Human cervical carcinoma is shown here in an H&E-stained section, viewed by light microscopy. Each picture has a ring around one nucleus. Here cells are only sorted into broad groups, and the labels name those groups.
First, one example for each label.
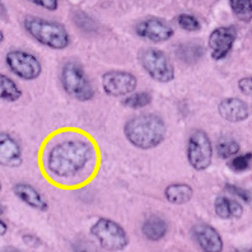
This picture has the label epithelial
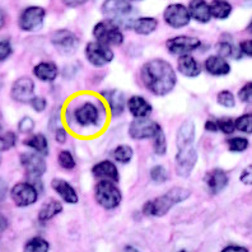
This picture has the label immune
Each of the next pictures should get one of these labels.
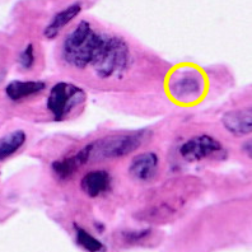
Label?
epithelial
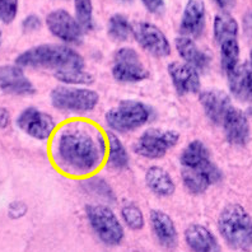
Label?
epithelial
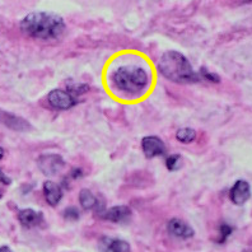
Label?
immune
